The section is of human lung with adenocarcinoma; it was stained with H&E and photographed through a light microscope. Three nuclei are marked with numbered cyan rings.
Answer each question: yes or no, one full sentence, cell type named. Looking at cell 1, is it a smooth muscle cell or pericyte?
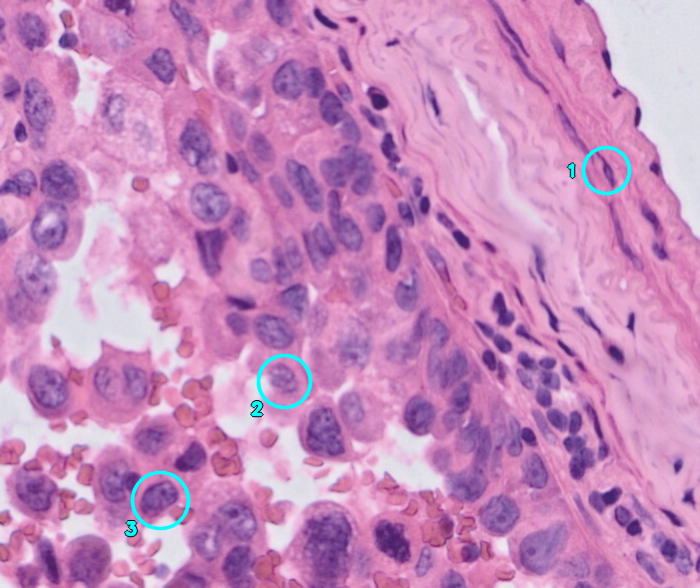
Yes, the cell shown as number 1 is a smooth muscle cell or pericyte.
